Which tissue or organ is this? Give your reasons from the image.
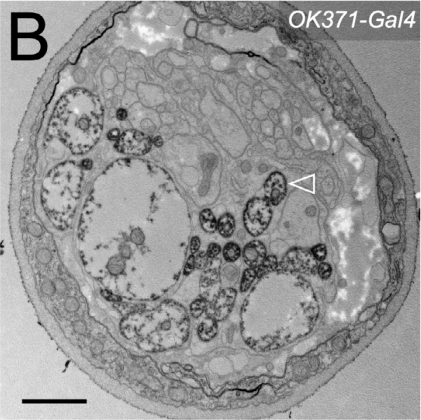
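Peripheral nerves. The bundle is surrounded by layered sheath cells and a thin outer coat.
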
